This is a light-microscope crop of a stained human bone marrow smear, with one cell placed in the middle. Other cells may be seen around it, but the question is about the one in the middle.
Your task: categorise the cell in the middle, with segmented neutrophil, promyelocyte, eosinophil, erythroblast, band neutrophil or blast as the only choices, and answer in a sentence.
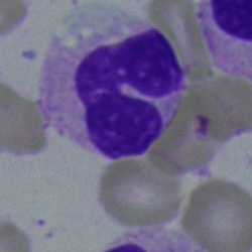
Among the cells in view, the one in the middle is a band neutrophil.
